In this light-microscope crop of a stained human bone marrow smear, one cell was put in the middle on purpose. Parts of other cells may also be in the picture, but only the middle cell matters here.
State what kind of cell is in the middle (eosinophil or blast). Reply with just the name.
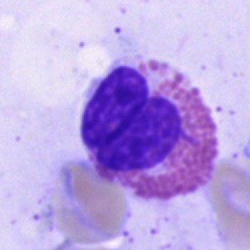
eosinophil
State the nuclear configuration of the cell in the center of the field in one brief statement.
Nuclear material here is separated into two or more segments.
